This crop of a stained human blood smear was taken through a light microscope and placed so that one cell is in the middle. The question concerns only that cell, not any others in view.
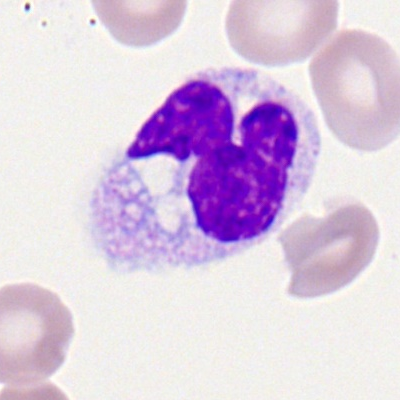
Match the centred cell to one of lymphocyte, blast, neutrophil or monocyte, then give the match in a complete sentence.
The cell in the exact centre of the crop is a monocyte.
